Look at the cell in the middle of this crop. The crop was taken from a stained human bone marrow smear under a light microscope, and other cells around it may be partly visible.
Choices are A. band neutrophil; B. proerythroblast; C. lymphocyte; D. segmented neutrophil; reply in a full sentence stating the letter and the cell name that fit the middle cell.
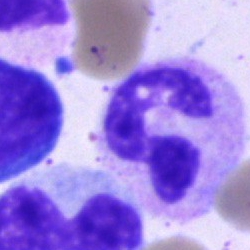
Well, the cell in the middle is a segmented neutrophil, making option D right.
